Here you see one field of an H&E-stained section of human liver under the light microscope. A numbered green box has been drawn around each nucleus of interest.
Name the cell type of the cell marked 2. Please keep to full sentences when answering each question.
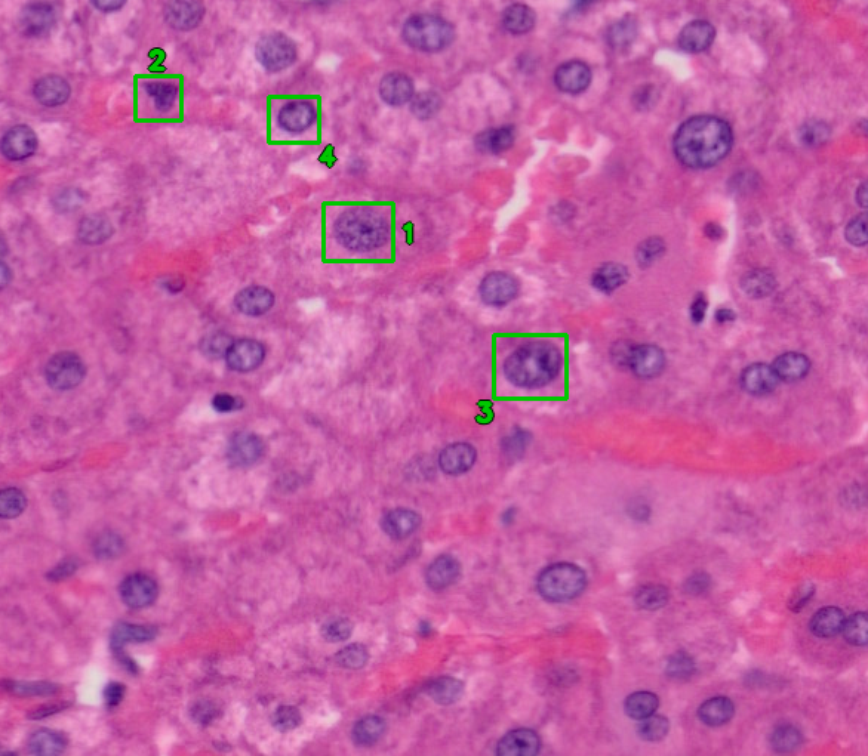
Corresponding to a fibroblast or stellate cell is the cell labelled 2.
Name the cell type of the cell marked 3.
The cell given label 3 is a hepatocyte.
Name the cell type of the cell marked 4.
The correct answer for cell 4 is a hepatocyte.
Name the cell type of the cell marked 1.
The cell numbered 1 represents a hepatocyte.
